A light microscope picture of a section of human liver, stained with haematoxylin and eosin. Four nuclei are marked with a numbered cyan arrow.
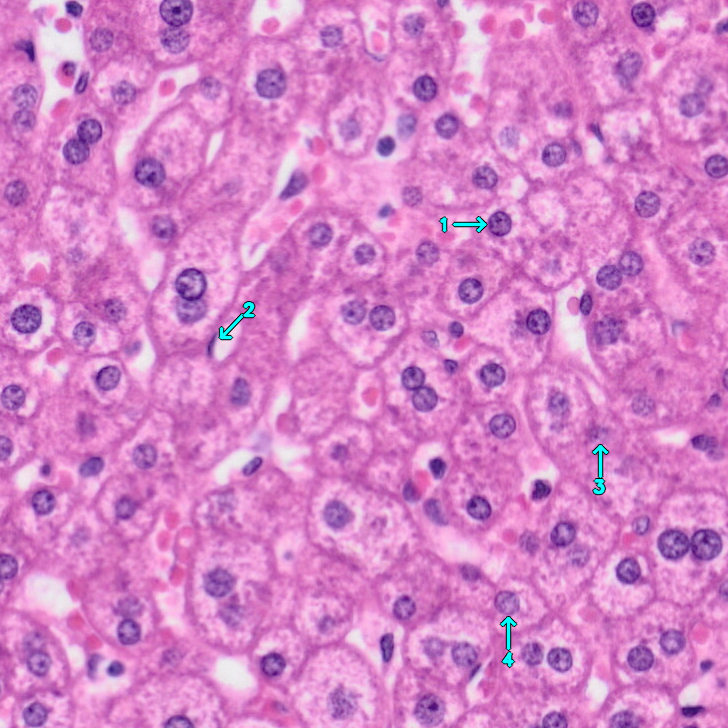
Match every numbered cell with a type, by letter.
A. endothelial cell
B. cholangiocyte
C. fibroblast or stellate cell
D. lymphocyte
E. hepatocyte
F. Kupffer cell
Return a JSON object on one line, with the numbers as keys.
{"1": "E", "2": "A", "3": "E", "4": "E"}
